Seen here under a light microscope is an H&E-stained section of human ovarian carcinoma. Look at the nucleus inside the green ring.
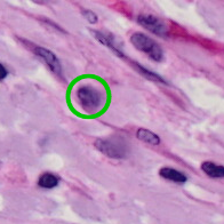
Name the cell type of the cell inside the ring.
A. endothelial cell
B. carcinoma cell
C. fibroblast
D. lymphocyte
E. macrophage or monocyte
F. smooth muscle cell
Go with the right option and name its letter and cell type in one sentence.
The proper choice here is D: the cell inside the ring is a lymphocyte.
